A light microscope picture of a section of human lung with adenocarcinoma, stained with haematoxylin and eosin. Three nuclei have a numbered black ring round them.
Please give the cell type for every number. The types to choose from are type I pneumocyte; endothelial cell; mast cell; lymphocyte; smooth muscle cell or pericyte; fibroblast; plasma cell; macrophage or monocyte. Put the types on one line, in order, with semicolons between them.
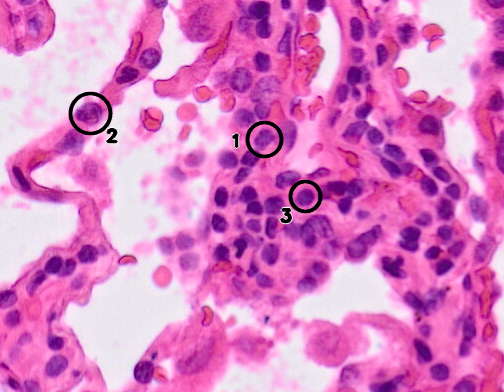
lymphocyte; type I pneumocyte; lymphocyte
